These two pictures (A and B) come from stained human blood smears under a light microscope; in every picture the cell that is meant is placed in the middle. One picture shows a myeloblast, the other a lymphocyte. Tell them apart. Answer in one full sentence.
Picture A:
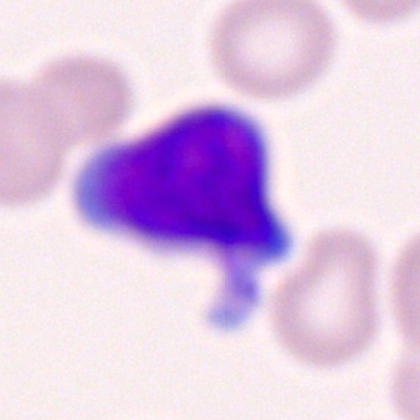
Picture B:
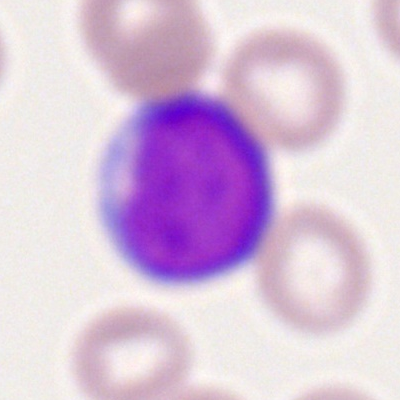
The cell in picture A is a lymphocyte, and the one in picture B is a myeloblast.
